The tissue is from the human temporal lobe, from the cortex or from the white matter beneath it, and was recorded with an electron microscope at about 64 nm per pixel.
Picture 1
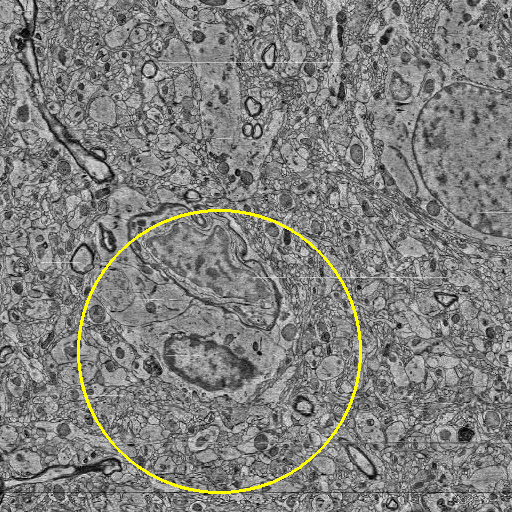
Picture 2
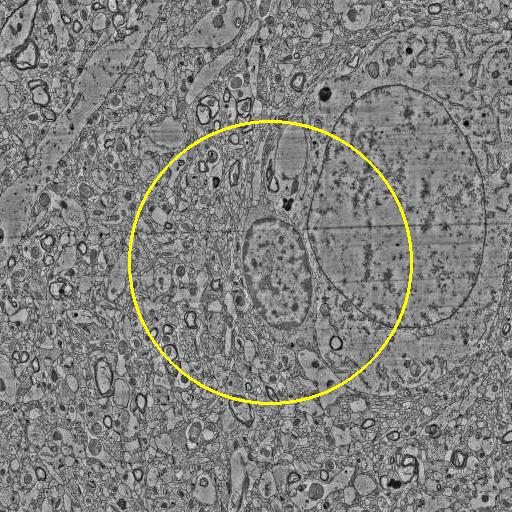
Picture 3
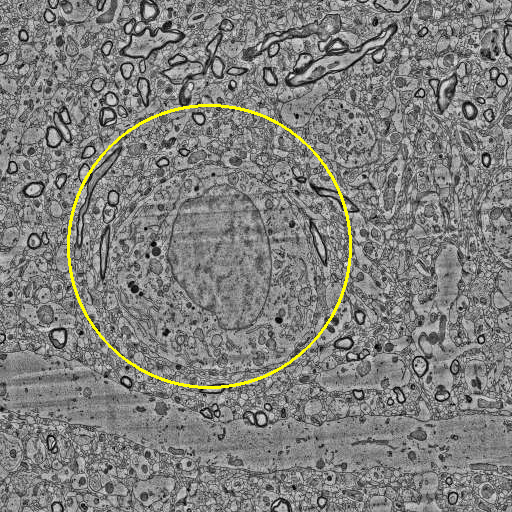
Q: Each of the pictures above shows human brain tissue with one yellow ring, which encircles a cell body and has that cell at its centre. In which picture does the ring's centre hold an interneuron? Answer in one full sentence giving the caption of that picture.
Picture 3 is the one whose ring is centred on the cell in question.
